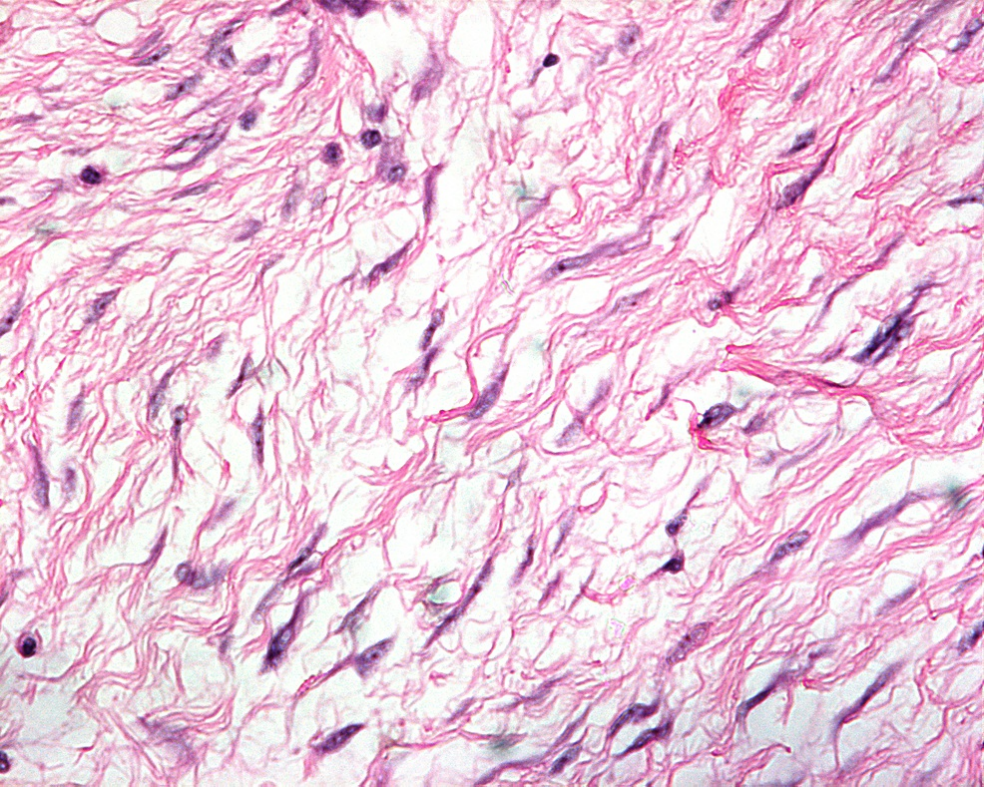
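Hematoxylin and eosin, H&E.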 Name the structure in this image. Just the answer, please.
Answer: collagen-rich matrix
